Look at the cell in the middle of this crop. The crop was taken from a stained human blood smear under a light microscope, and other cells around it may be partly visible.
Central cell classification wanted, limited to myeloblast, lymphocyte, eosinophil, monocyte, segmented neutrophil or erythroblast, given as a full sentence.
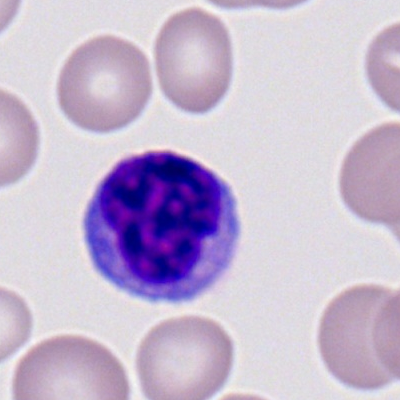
By classification, the middle cell of this crop is a lymphocyte.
